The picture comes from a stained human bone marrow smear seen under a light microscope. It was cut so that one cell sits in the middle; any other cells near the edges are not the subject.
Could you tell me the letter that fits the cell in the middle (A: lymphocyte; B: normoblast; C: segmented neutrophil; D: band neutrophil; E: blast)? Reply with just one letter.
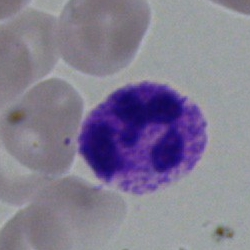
C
